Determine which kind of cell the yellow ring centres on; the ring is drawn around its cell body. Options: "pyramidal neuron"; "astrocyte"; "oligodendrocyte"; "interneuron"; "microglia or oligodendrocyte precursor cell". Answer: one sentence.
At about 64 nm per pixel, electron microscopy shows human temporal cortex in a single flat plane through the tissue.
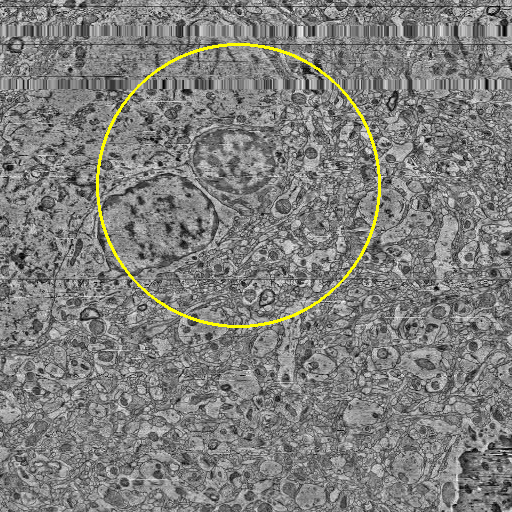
The ring centres on an oligodendrocyte.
